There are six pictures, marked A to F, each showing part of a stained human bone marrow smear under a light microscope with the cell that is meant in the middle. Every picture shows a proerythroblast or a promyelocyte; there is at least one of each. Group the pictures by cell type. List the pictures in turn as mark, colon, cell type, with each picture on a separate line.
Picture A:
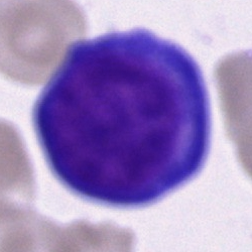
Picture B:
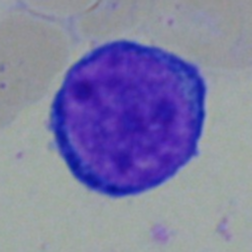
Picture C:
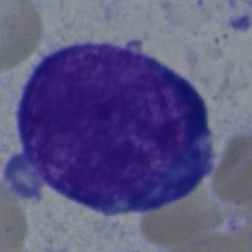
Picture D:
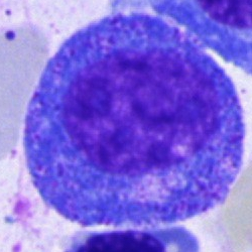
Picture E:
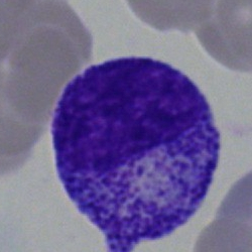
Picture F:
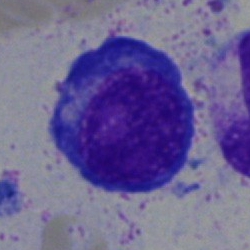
A: proerythroblast
B: proerythroblast
C: proerythroblast
D: promyelocyte
E: promyelocyte
F: proerythroblast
